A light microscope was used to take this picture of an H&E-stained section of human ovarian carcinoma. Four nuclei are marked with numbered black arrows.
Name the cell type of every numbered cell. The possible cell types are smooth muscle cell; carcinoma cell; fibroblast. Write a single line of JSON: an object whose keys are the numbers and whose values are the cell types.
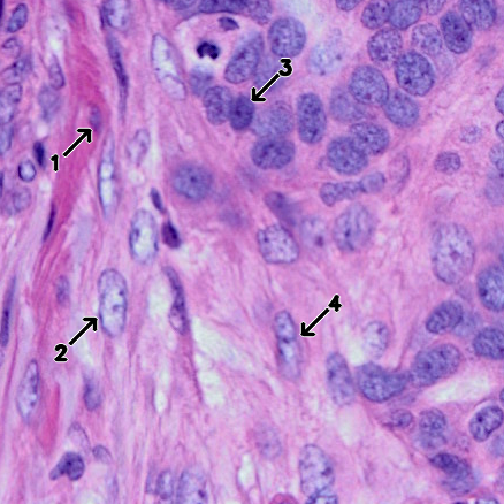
{"1": "smooth muscle cell", "2": "fibroblast", "3": "carcinoma cell", "4": "fibroblast"}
